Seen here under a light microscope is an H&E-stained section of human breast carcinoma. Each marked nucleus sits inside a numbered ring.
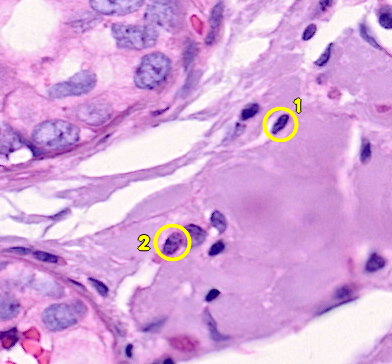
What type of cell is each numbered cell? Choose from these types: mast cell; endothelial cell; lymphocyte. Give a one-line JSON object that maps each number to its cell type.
{"1": "lymphocyte", "2": "mast cell"}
